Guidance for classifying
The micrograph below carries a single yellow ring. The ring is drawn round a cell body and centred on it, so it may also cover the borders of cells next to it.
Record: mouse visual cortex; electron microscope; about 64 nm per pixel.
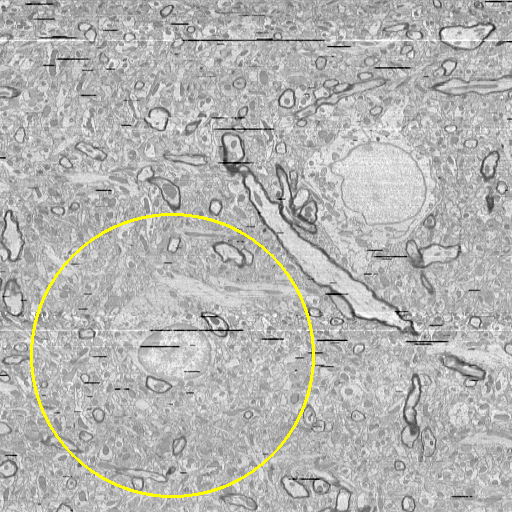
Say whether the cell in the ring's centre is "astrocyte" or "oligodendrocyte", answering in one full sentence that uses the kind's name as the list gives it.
Within the yellow ring, an oligodendrocyte is the cell whose body sits at the centre.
